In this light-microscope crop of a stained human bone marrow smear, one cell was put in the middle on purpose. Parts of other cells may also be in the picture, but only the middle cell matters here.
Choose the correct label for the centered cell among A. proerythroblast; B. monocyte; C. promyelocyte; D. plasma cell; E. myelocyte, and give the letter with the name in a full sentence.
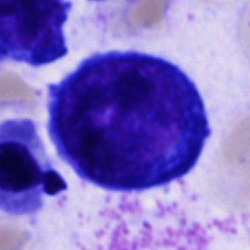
The correct option here is A; the middle cell is a proerythroblast.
